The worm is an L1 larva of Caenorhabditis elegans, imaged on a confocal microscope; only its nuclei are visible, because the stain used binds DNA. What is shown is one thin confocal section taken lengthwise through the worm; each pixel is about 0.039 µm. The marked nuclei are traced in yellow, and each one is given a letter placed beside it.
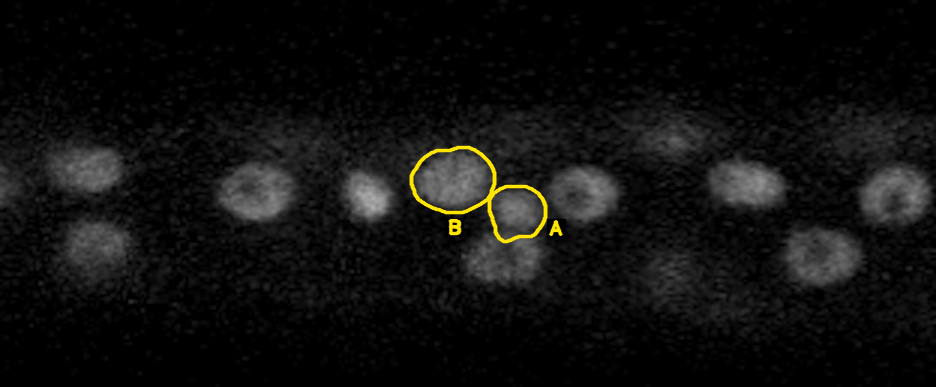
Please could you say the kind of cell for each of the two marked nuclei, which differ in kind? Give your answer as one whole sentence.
A belongs to a neuron and B to a P cell (ventral epidermal blast cell).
